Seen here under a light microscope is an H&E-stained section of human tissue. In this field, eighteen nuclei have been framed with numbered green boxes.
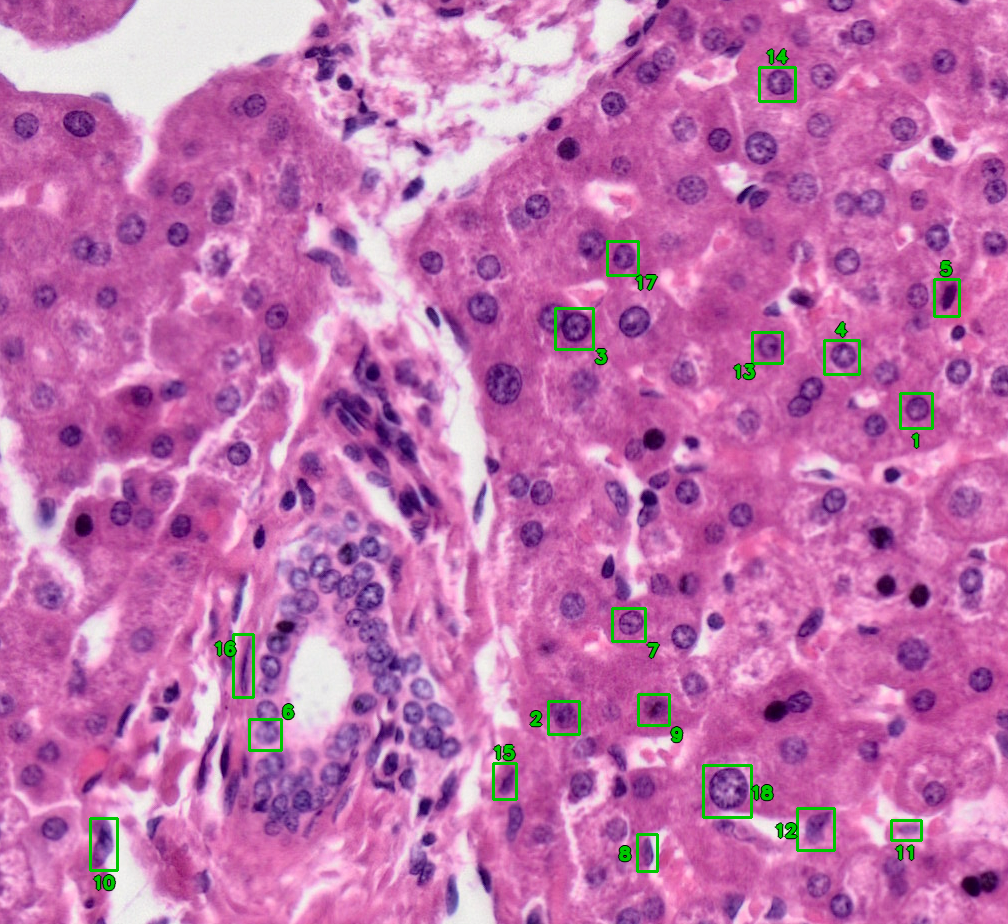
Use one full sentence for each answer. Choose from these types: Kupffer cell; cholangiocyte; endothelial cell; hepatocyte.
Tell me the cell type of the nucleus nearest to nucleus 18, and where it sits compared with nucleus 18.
It is a Kupffer cell, whose nucleus lies below nucleus 18.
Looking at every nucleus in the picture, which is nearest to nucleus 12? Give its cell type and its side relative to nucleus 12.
A hepatocyte lies closest, below nucleus 12.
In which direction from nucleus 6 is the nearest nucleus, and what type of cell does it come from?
The closest nucleus belongs to a cholangiocyte and sits above nucleus 6.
